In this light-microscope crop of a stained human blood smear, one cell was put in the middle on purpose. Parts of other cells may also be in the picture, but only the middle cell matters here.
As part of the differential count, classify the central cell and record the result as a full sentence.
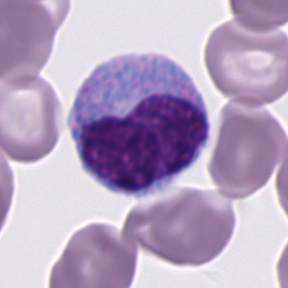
The cell at the middle of the crop is recognized as a monocyte.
